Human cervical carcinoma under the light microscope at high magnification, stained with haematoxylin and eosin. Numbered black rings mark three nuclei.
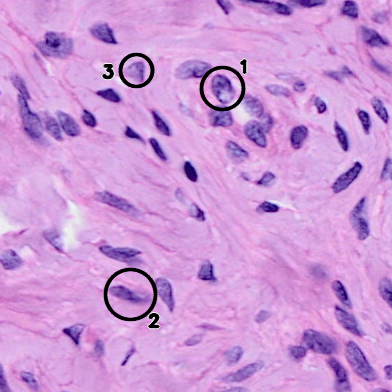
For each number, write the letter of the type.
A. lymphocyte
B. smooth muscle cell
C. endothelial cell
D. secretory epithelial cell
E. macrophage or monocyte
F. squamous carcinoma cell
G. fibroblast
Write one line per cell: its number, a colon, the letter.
1: C
2: G
3: G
